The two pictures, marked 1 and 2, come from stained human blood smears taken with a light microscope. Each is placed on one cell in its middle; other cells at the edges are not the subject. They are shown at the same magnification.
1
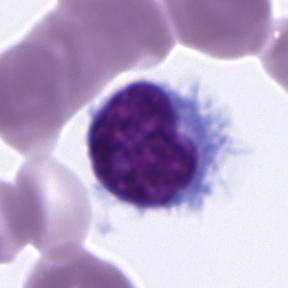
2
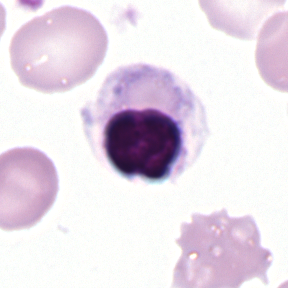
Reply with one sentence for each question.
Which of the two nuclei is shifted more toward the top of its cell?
It is the nucleus in crop 1 that lies further toward the top of its cell.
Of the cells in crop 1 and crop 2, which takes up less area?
Crop 2 holds the smaller cell, since the cell in crop 1 covers about 1.5 times as much area.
